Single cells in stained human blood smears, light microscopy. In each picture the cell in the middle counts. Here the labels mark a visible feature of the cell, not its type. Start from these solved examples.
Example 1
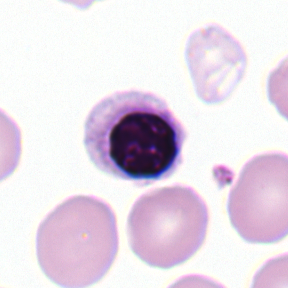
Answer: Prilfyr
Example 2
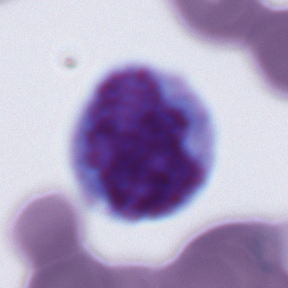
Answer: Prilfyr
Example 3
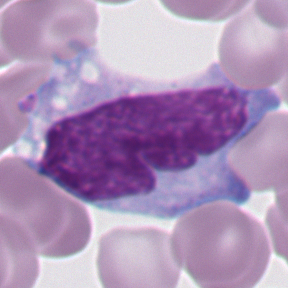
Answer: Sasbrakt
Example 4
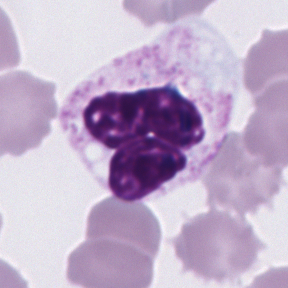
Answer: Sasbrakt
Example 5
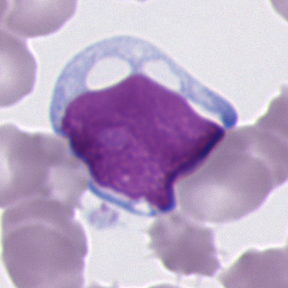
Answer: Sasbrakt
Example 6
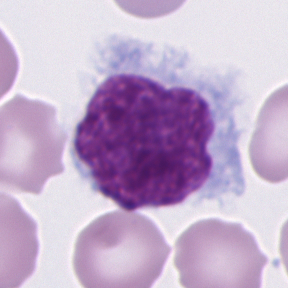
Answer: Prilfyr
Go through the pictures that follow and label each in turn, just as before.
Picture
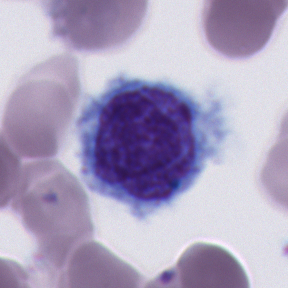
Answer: Prilfyr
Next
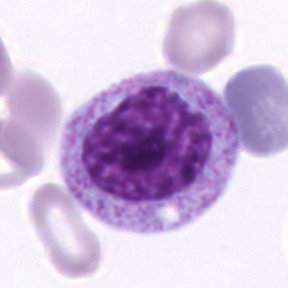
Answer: Sasbrakt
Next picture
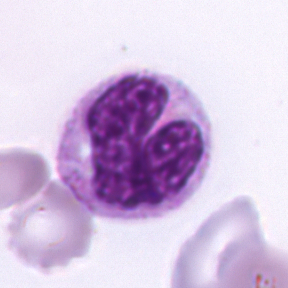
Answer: Sasbrakt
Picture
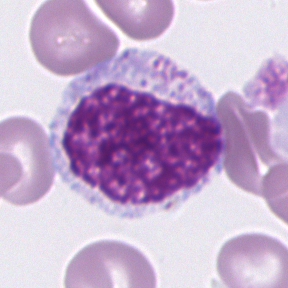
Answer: Prilfyr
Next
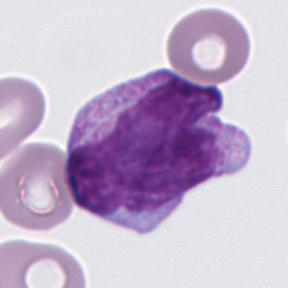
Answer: Prilfyr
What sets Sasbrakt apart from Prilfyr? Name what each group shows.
In Sasbrakt: vacuoles present. In Prilfyr: no vacuoles.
